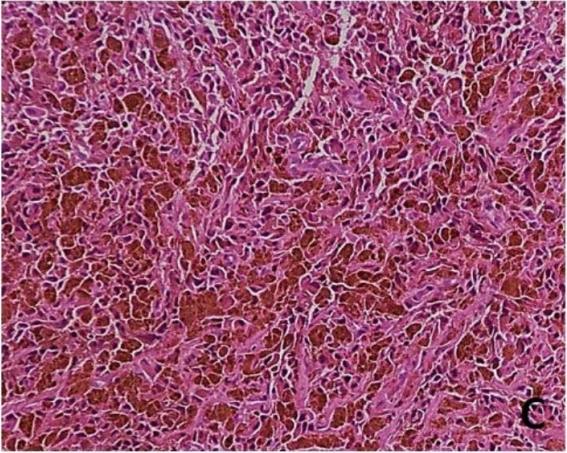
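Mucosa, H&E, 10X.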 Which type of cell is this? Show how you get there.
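Elongated spindle cells and plumper polygonal cells are packed in sheets. Many cells contain brown pigment. So: spindle and epithelioid-like cells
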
